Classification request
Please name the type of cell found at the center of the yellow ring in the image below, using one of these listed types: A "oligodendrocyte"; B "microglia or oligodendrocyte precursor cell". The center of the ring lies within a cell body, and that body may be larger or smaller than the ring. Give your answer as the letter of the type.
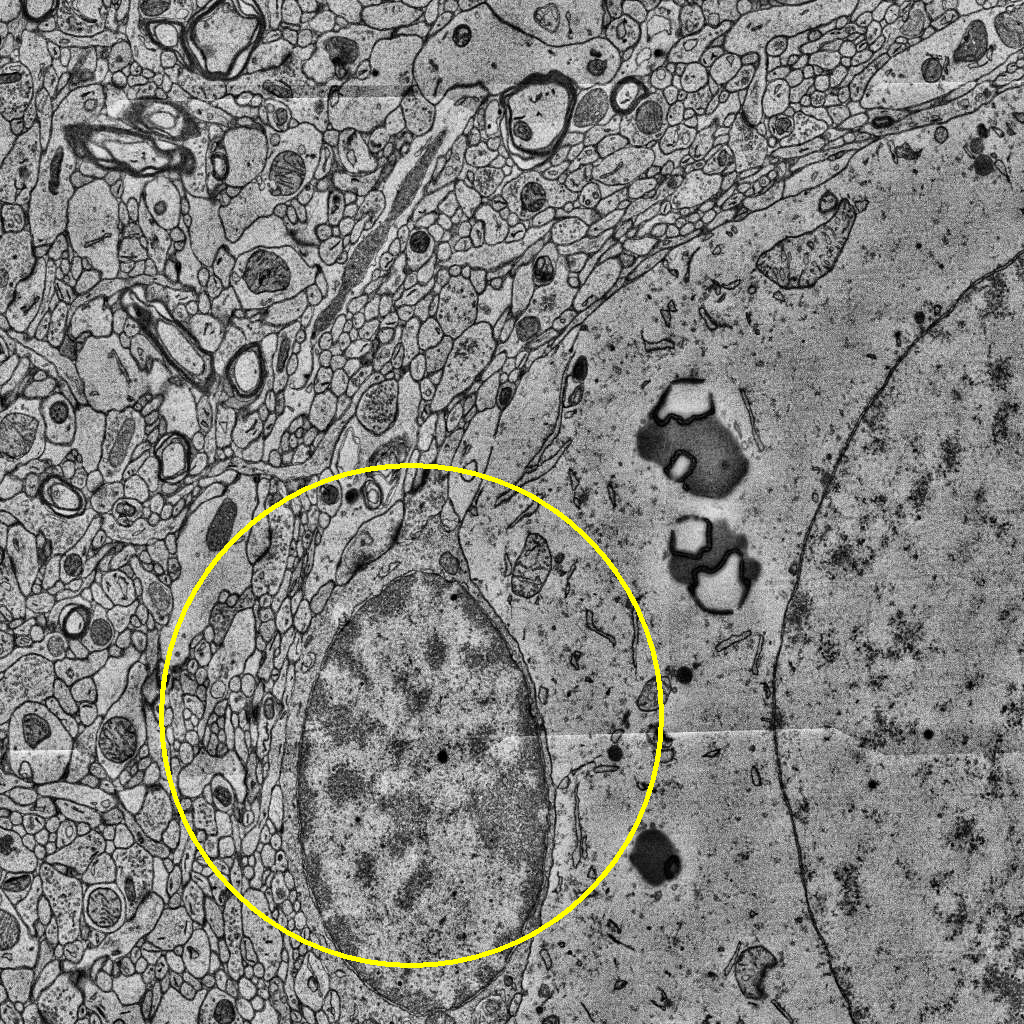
A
